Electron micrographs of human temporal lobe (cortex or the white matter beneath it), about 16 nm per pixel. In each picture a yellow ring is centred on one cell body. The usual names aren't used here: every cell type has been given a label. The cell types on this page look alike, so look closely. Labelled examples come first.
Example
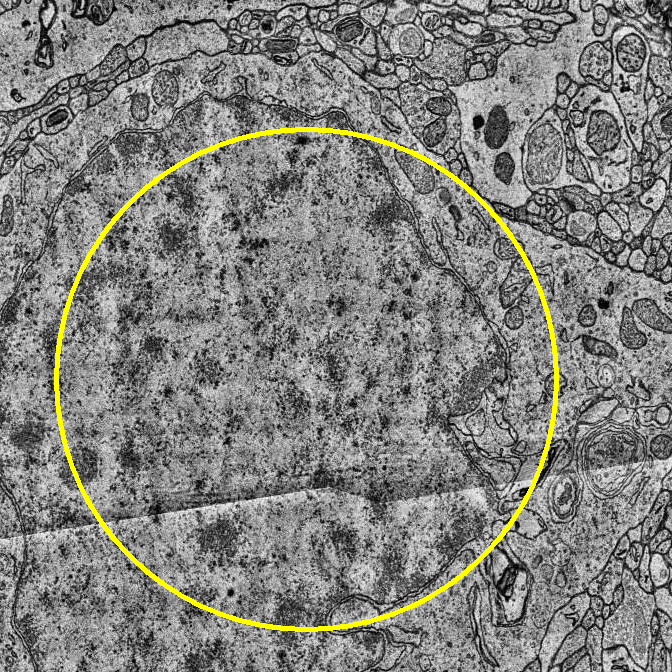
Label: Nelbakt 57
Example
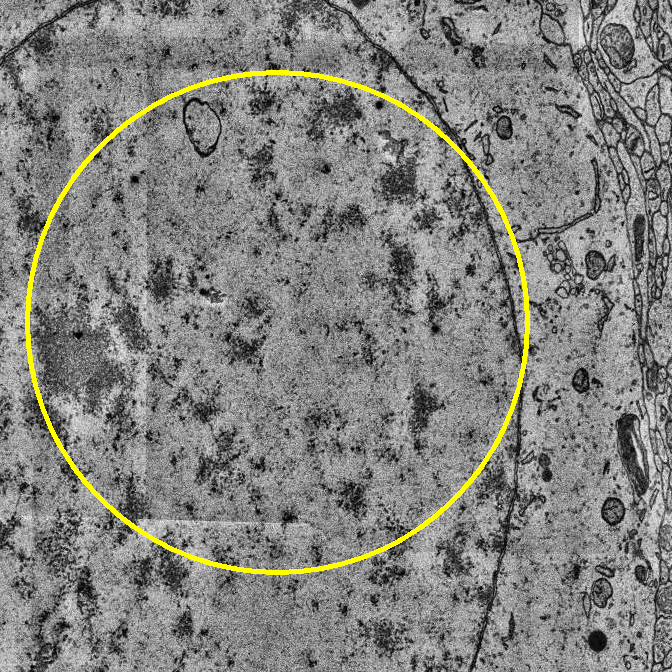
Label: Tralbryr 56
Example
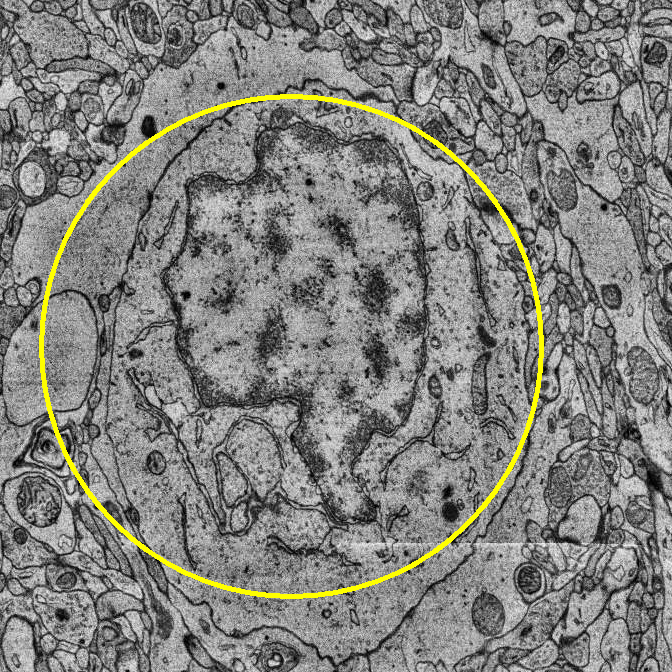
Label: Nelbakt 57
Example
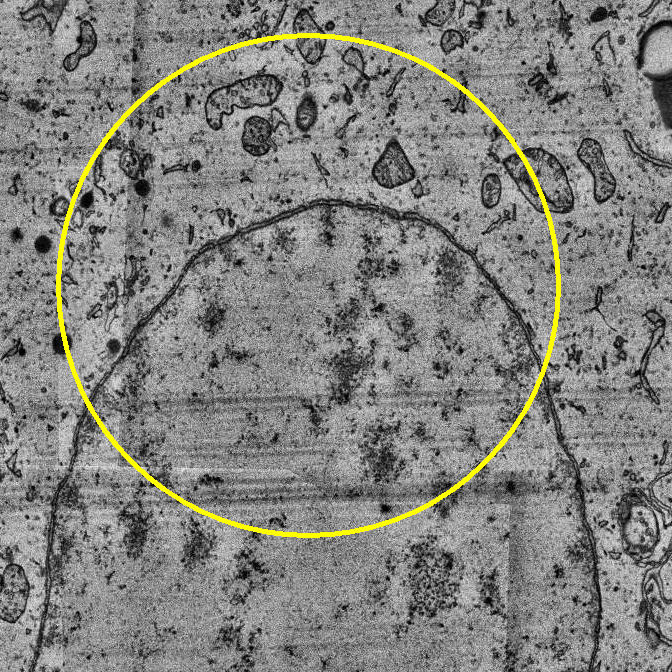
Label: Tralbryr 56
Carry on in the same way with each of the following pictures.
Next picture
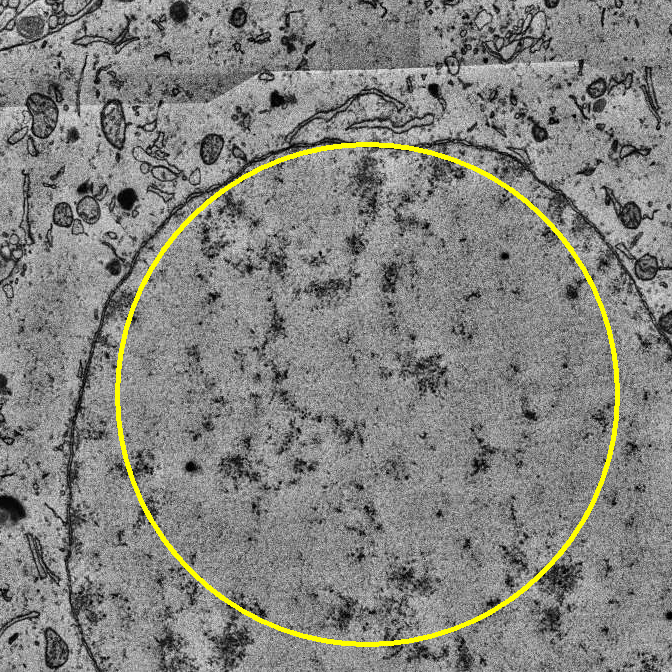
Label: Tralbryr 56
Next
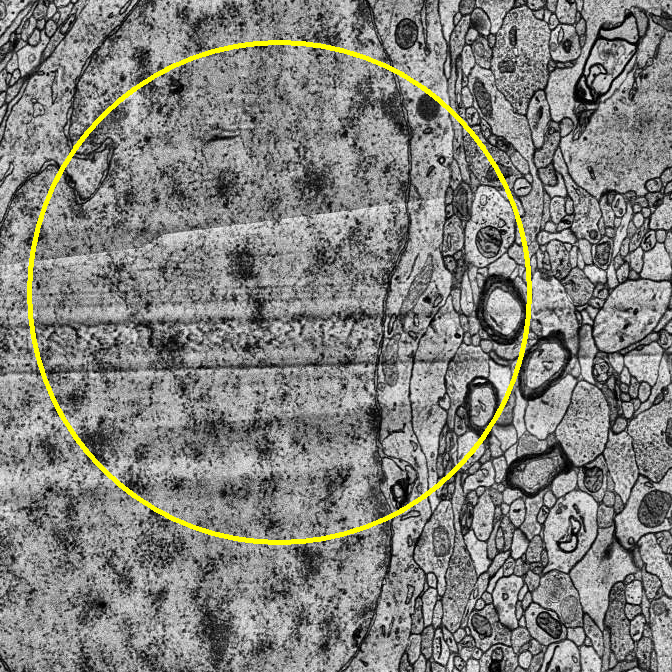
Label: Nelbakt 57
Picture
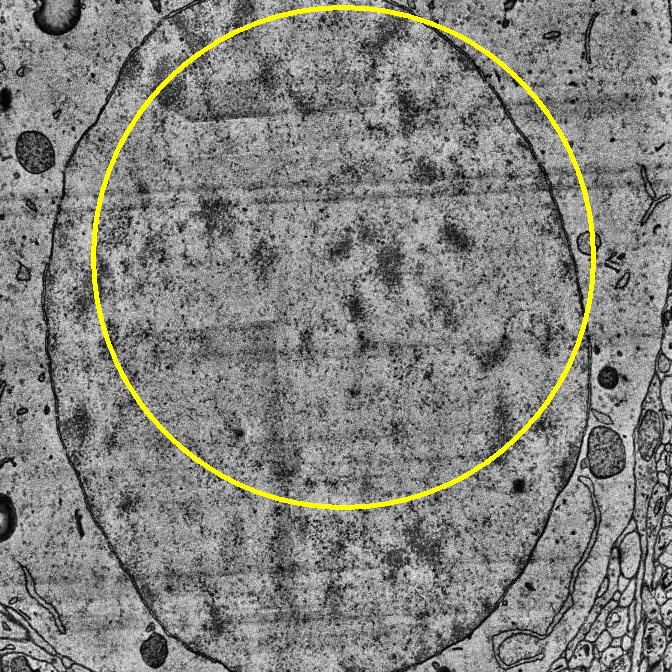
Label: Tralbryr 56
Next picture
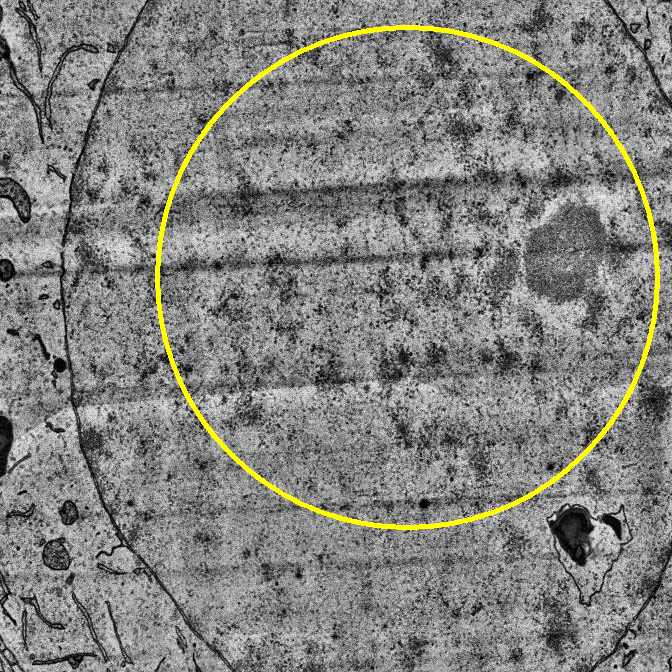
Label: Tralbryr 56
